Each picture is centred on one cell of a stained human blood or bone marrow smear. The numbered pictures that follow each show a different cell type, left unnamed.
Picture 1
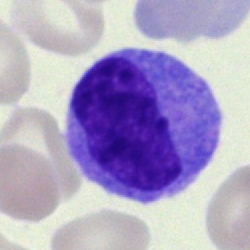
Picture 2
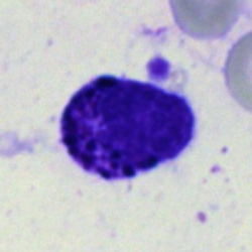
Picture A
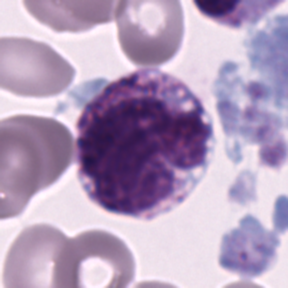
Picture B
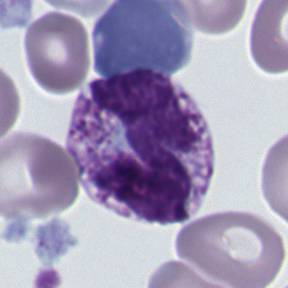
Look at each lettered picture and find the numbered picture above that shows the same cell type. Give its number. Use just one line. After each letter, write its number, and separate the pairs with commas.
A 2, B 2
